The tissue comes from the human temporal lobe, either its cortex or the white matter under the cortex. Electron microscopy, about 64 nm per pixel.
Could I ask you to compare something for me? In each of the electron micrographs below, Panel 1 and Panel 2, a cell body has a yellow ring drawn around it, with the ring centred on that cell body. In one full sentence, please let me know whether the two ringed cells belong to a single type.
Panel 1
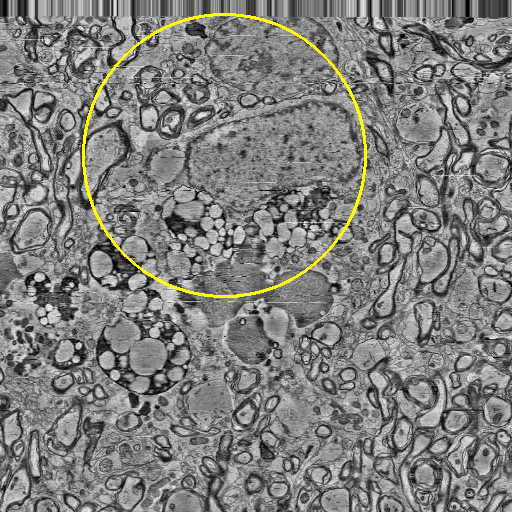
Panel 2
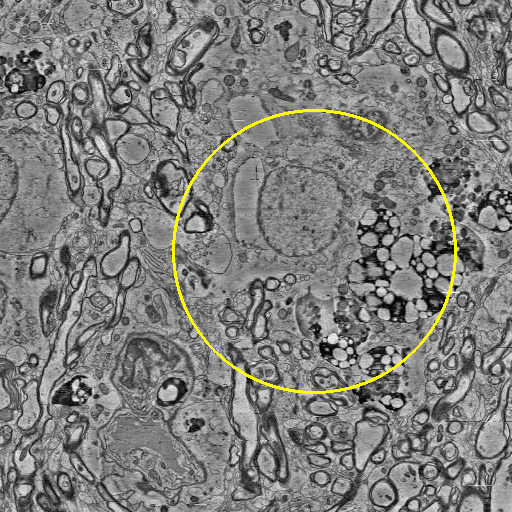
Yes, the two cells at the centres of the rings are of one type.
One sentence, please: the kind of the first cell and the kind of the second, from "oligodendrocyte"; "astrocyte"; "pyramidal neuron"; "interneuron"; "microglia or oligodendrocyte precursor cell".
The cell at the ring centre is an astrocyte in both pictures.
